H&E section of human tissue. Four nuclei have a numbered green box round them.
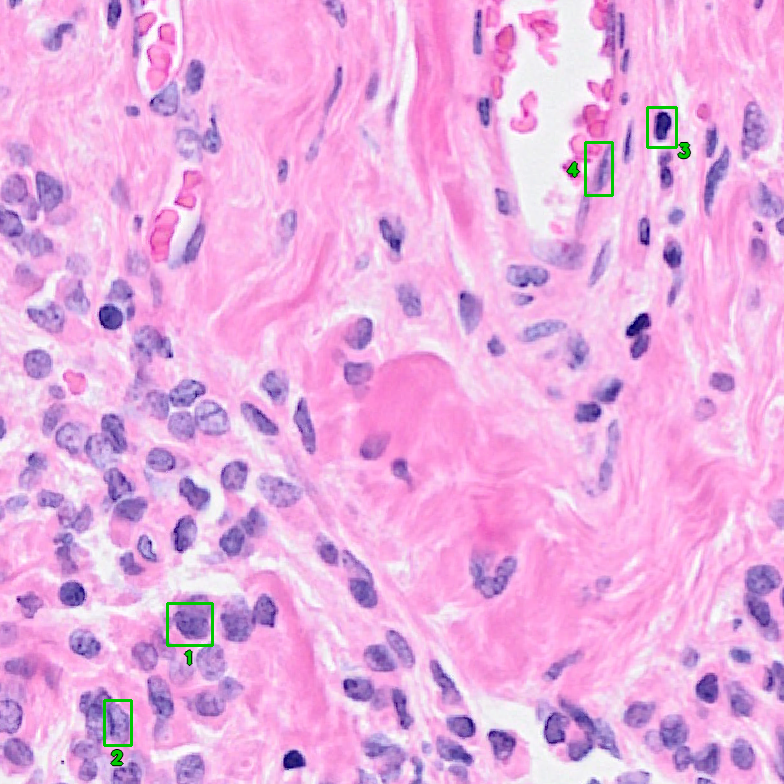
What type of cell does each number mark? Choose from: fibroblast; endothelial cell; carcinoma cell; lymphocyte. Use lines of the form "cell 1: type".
cell 1: carcinoma cell
cell 2: carcinoma cell
cell 3: lymphocyte
cell 4: endothelial cell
